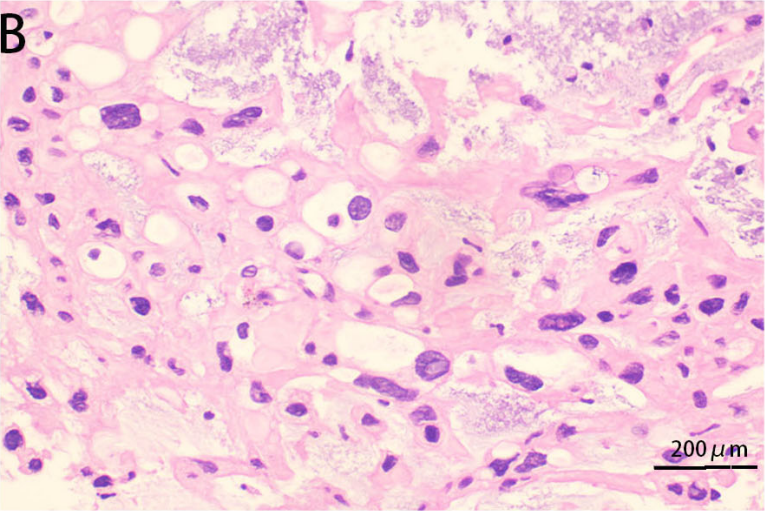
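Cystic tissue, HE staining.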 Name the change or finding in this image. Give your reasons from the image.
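Enlarged, and deeply stained nuclei. Many nuclei are large and dark purple. Nuclei vary in size and shape. Clear round vacuoles lie among and within the cells.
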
